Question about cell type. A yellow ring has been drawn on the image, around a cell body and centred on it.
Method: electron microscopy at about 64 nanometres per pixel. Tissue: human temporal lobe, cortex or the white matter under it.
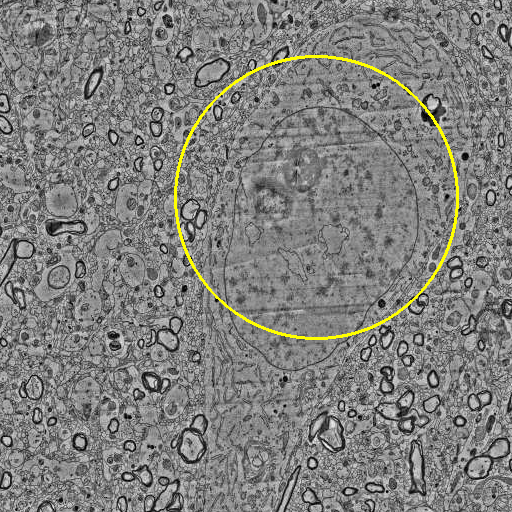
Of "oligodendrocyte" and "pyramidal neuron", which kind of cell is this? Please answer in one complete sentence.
At the centre of the ring lies a pyramidal neuron.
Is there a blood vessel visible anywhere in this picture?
No, none appears.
